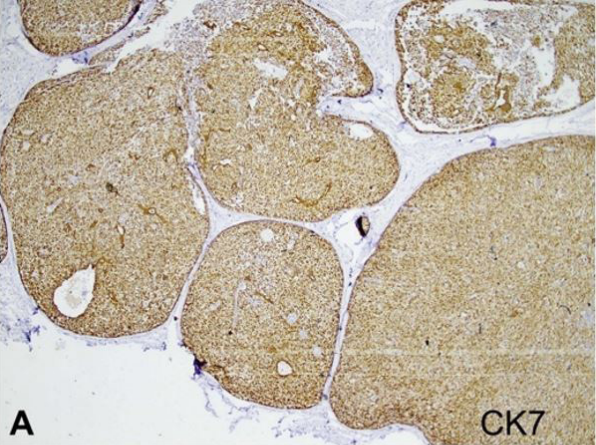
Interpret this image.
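This is tumor tissue made of large rounded nests of densely packed tumor cells, separated by thin pale blue fibrous septa. The cells throughout the nests stain brown, and a few small round clear spaces lie within the nests.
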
